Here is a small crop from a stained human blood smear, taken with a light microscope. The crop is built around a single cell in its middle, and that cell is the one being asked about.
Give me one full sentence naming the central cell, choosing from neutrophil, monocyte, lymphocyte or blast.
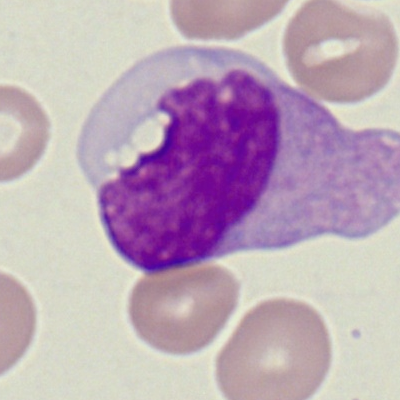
The central cell shown in this smear crop is a monocyte.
